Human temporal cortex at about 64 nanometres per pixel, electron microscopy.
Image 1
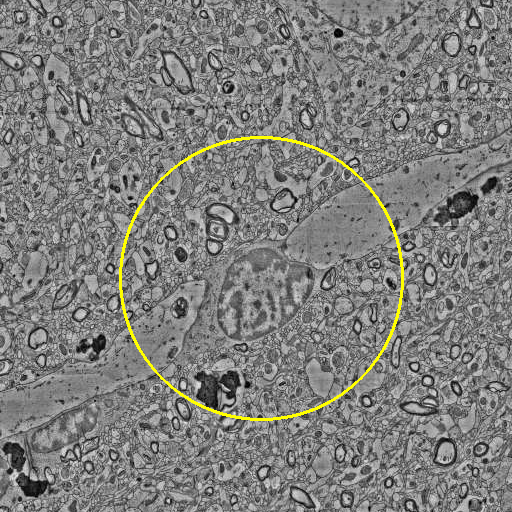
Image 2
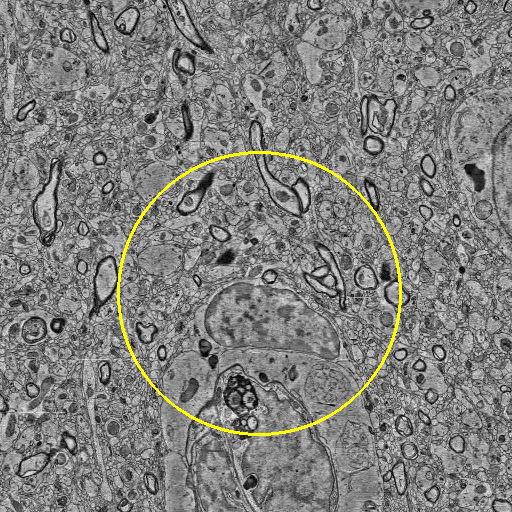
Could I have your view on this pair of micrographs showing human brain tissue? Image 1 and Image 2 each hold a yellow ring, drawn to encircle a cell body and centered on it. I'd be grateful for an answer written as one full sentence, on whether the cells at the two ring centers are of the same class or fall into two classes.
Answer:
The cells at the centers of the two rings fall into two classes.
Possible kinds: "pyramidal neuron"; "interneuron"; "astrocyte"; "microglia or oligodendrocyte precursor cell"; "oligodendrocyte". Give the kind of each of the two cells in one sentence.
The cell in the second picture is a microglial cell or oligodendrocyte precursor cell, and that in the first is an oligodendrocyte.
